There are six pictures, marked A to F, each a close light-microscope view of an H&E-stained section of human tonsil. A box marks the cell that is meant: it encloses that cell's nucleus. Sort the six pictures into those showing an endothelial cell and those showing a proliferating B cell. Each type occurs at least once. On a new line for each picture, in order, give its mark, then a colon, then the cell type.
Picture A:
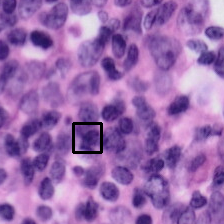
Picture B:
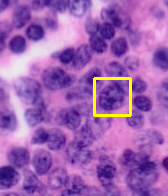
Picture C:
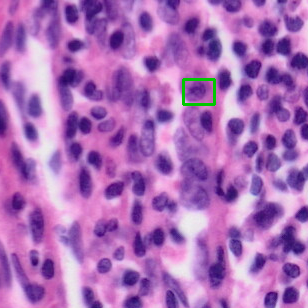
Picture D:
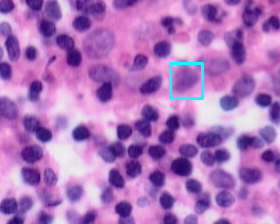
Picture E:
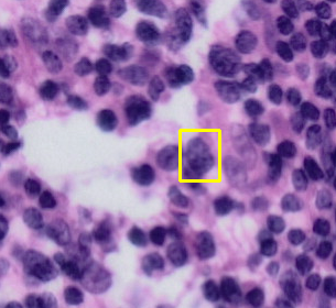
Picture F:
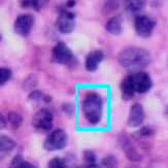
A: proliferating B cell
B: proliferating B cell
C: endothelial cell
D: endothelial cell
E: proliferating B cell
F: proliferating B cell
